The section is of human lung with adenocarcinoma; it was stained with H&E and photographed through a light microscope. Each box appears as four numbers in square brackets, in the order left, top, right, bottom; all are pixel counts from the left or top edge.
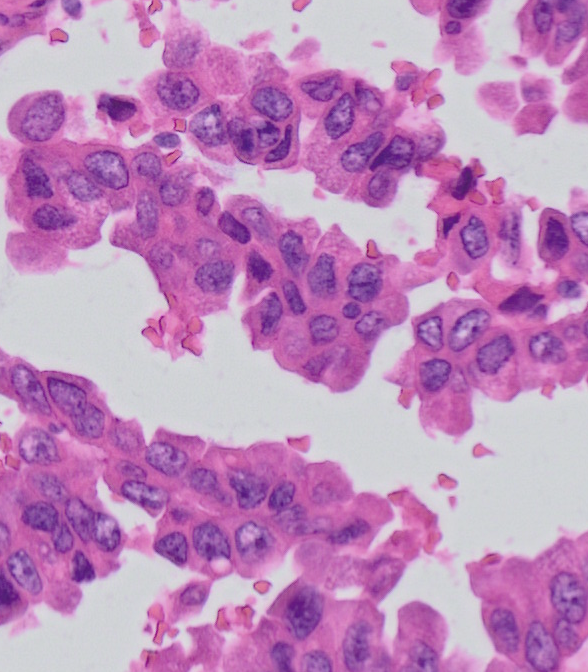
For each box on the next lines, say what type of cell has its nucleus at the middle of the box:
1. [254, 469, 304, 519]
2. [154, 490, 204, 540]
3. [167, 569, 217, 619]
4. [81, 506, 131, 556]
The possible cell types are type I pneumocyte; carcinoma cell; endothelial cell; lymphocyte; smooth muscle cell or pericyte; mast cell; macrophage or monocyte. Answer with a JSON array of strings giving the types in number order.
["carcinoma cell", "carcinoma cell", "macrophage or monocyte", "carcinoma cell"]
